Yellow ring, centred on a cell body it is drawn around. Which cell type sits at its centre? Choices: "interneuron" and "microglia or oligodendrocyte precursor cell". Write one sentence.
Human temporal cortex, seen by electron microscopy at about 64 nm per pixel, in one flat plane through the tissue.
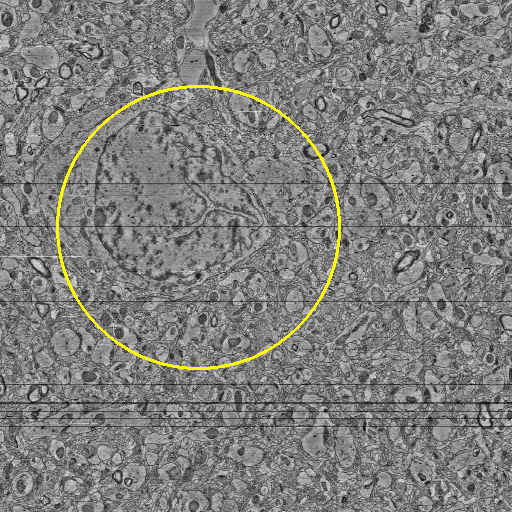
At the centre of the ring sits an interneuron.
